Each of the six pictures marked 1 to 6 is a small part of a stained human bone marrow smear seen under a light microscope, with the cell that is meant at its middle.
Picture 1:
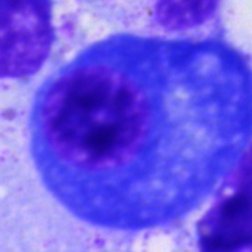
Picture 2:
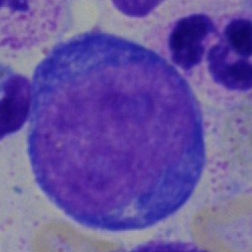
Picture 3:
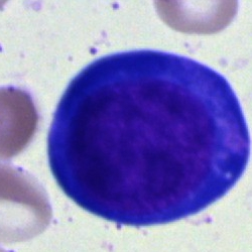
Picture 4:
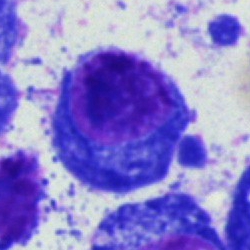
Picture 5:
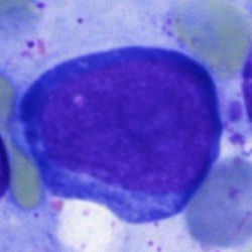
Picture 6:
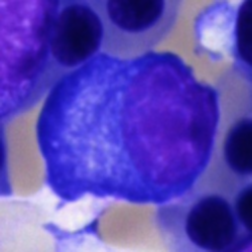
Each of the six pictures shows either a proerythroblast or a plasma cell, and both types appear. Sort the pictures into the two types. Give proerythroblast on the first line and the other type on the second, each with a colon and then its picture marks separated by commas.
proerythroblast: 2, 3, 5
plasma cell: 1, 4, 6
